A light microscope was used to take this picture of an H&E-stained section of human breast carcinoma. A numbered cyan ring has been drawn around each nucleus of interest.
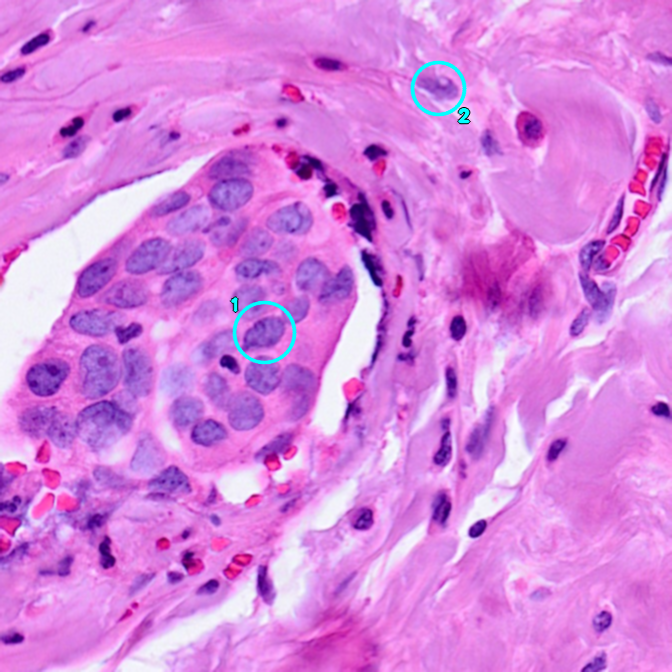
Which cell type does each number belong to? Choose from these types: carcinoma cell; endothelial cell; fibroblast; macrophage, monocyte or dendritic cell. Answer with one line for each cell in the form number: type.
1: carcinoma cell
2: fibroblast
